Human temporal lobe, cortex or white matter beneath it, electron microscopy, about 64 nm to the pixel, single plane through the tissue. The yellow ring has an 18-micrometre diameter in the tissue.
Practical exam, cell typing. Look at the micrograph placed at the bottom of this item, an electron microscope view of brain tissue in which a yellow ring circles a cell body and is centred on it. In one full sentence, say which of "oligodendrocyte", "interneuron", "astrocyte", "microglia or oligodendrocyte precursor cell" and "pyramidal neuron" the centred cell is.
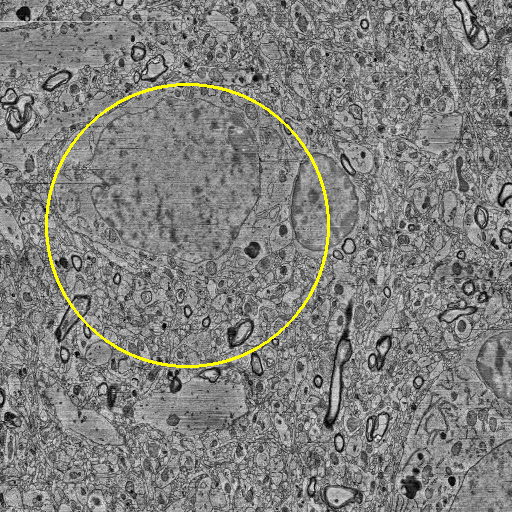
Given the options, an interneuron fits the cell whose body the yellow ring is centred on.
